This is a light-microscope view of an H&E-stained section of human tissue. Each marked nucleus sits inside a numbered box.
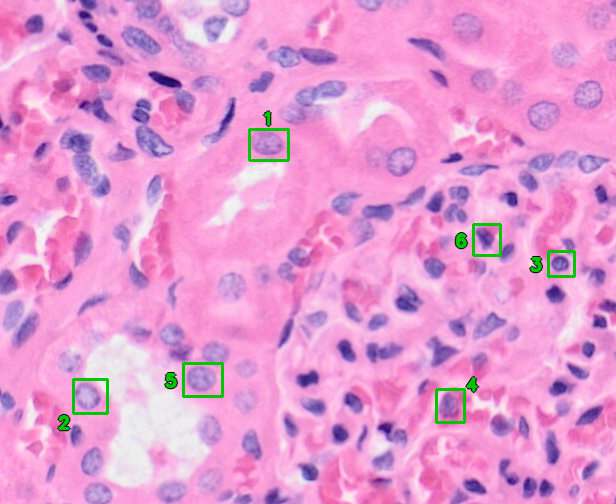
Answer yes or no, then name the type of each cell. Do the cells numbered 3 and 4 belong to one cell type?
Yes, both are endothelial cells.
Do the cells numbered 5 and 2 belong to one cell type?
Yes, both are loop of Henle or distal tubule cells.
